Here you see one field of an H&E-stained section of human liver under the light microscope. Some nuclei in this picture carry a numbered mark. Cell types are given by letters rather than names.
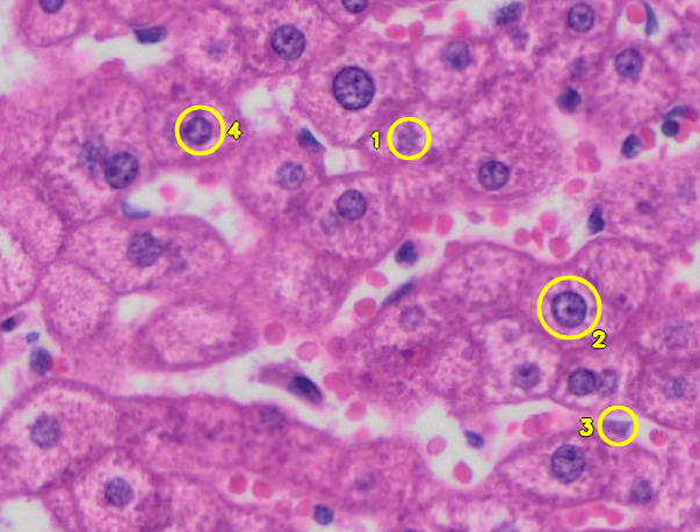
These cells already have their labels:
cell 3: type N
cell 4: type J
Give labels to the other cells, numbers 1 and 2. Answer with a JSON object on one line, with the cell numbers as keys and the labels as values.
{"1": "type J", "2": "type J"}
